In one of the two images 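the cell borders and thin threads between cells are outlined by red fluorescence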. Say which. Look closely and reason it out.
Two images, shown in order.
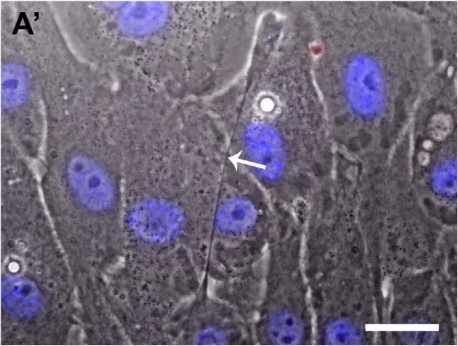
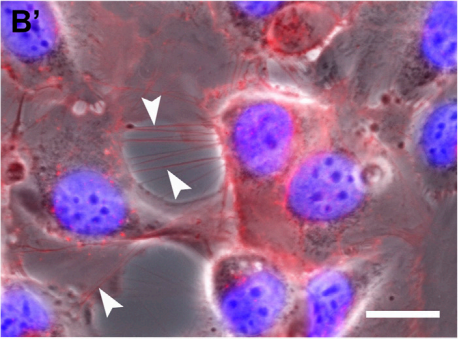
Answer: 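The second image. Second image: red lines follow the cell borders and fine threads crossing between cells. First image: cells and a thin dark thread appear in grey and blue only, with no red outlining.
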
